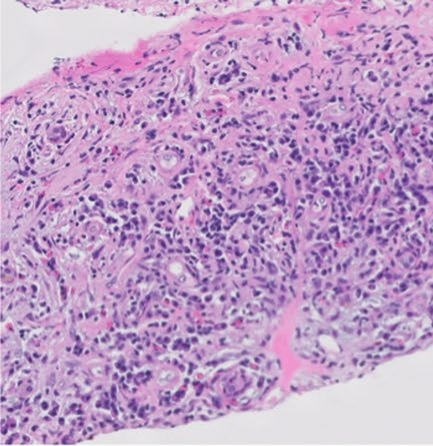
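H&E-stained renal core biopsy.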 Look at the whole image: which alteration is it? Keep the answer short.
marked interstitial inflammation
